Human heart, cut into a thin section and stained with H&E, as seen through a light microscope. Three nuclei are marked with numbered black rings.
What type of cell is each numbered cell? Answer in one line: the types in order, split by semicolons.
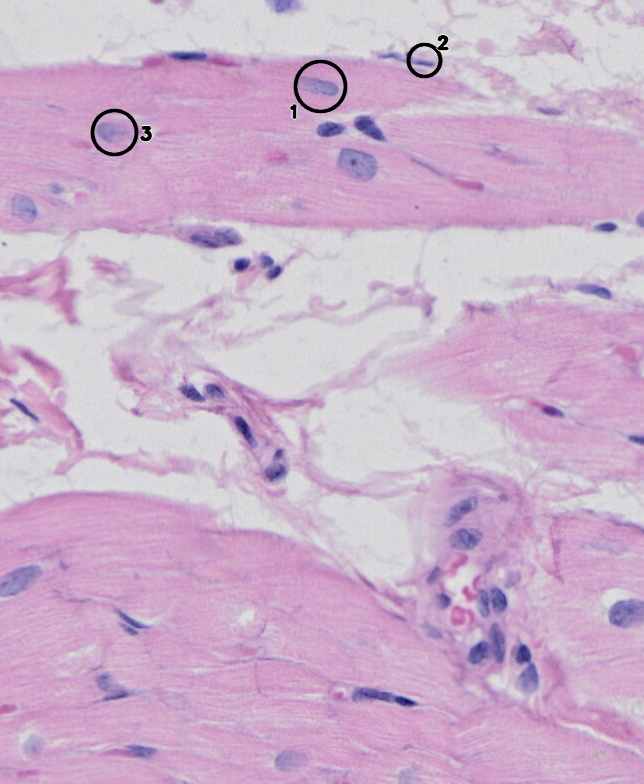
cardiomyocyte; fibroblast; cardiomyocyte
